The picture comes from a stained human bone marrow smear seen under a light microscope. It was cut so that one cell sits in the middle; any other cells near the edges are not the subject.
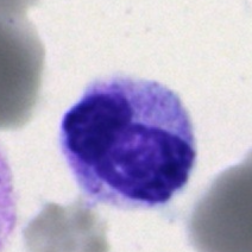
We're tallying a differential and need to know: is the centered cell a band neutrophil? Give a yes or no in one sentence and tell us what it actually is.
Yes, placed in the middle of the crop is a band neutrophil.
